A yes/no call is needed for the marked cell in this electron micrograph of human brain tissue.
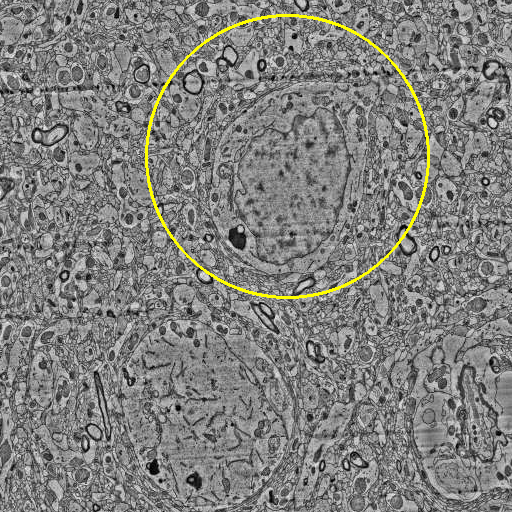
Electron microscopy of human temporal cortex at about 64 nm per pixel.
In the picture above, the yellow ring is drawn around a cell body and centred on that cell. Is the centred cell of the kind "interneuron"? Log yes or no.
yes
